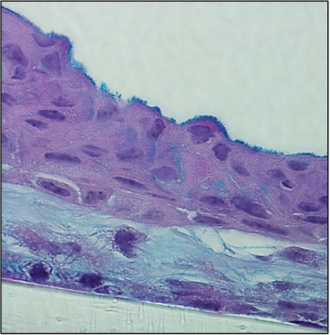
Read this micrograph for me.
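This cross section shows a cultured epithelial layer several cells thick, with purple oval nuclei and pink-purple cytoplasm. The upper surface is wavy and carries a thin fringe of short hair-like projections, the cilia. Beneath the upper layer lies a loose, pale blue-grey zone containing scattered cells with dark nuclei. At the bottom the clear support membrane is seen edge-on.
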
